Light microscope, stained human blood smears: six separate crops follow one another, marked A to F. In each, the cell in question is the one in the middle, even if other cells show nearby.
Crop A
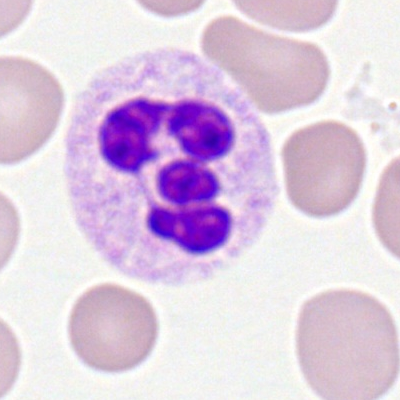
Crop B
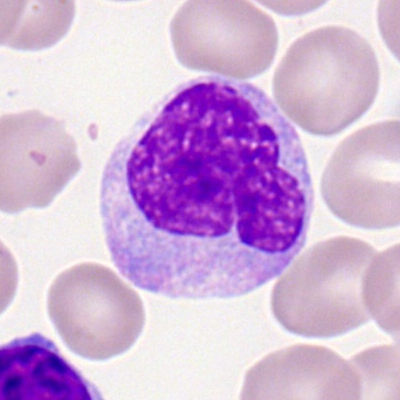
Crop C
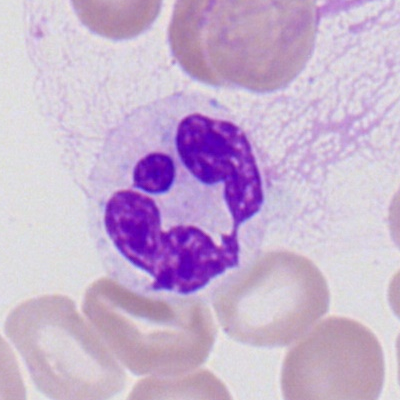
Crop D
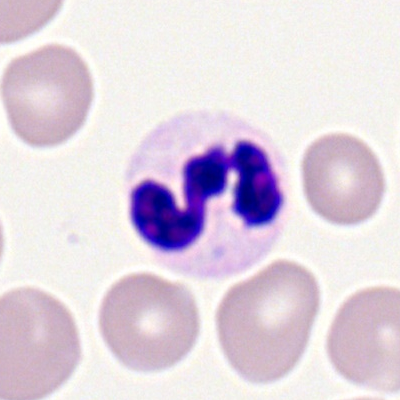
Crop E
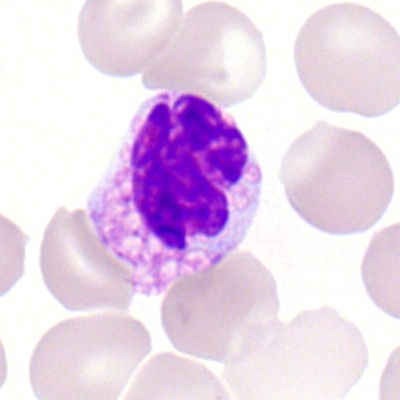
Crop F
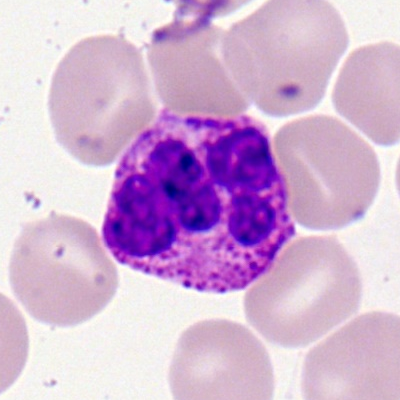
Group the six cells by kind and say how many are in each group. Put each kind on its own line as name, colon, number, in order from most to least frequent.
segmented neutrophil: 3
basophil: 2
monocyte: 1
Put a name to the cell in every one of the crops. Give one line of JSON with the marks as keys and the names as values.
{"A": "segmented neutrophil", "B": "monocyte", "C": "segmented neutrophil", "D": "segmented neutrophil", "E": "basophil", "F": "basophil"}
